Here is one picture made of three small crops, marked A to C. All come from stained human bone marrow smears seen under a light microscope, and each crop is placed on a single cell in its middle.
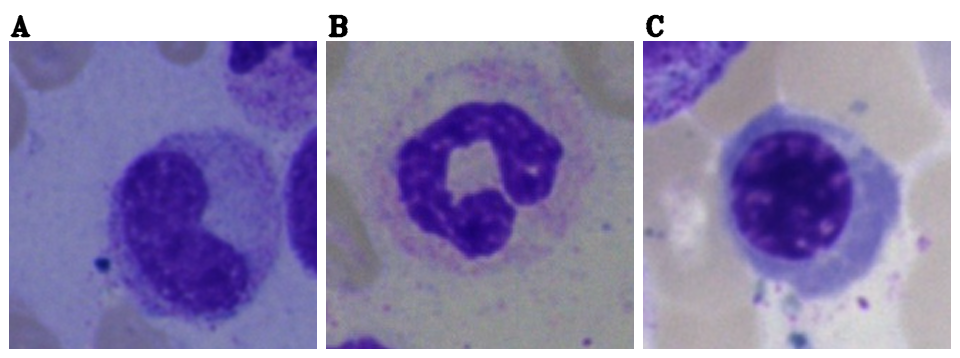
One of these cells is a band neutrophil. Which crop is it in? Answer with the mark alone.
A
